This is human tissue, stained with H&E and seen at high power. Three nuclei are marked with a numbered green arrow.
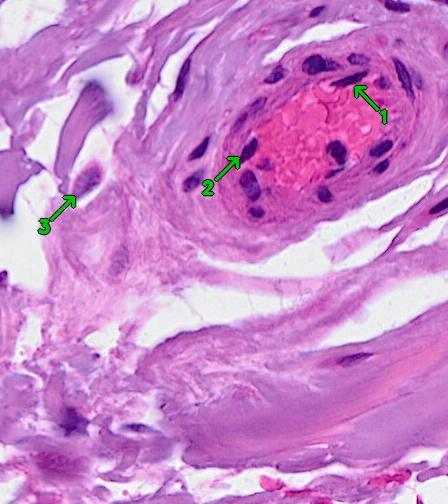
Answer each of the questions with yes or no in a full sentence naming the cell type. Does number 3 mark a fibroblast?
Yes, the numbered cell 3 is a fibroblast.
